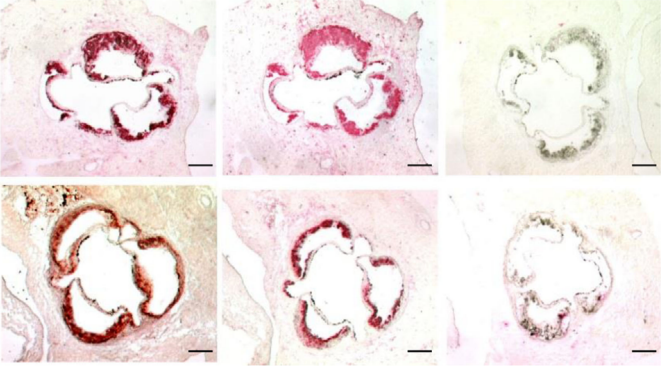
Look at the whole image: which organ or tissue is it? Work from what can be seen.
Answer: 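Each section shows a large central lumen bordered by several cusp-like lobes. The lobed outline repeats in all six sections.
Hence: aortic sinus.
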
